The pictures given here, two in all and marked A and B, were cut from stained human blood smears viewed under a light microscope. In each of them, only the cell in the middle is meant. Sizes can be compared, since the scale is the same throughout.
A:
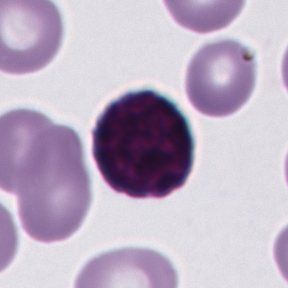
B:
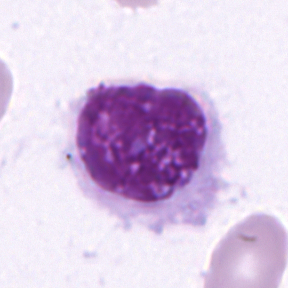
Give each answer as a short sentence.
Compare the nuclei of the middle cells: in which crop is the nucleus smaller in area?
The nucleus in crop A is smaller; the one in crop B has about 1.5 times its area.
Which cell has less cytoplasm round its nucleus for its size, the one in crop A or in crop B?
It is the cell in crop A that is filled more by its nucleus.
